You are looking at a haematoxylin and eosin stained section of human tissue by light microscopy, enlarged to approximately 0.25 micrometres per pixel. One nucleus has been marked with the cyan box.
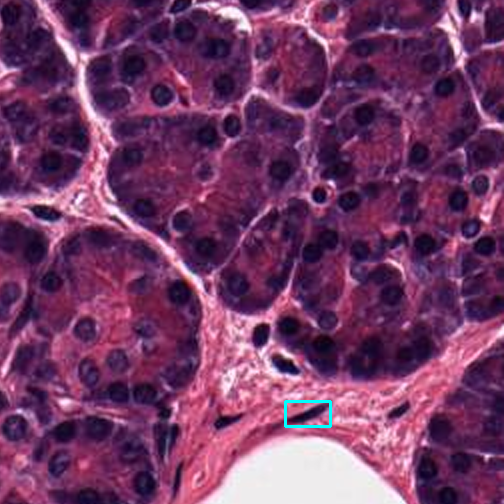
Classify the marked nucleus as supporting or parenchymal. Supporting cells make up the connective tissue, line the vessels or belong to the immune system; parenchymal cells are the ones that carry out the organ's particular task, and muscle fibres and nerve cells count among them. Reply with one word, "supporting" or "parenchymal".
supporting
